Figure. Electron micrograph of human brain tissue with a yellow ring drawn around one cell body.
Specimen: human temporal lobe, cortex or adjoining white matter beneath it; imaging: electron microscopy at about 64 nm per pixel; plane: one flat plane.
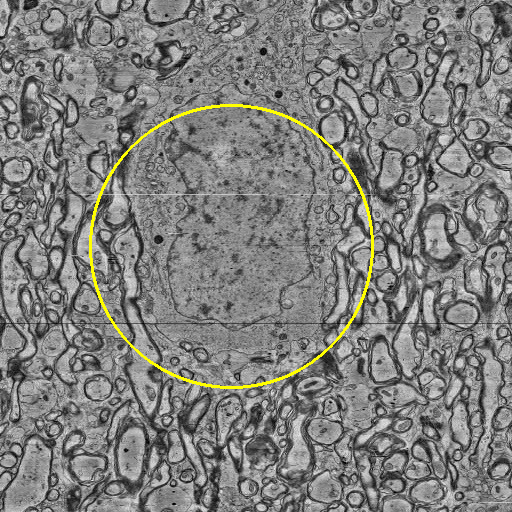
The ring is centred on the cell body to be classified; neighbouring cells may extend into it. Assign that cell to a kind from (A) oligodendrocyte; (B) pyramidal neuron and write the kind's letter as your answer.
B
